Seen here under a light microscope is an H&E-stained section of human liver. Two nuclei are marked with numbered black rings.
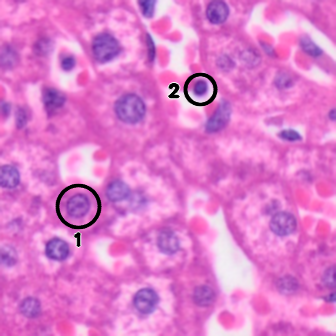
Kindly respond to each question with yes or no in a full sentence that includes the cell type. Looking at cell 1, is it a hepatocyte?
Yes, the cell denoted by 1 is a hepatocyte.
